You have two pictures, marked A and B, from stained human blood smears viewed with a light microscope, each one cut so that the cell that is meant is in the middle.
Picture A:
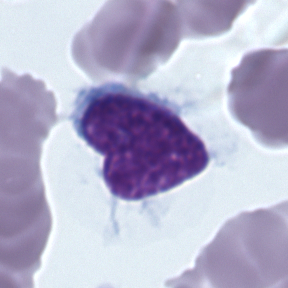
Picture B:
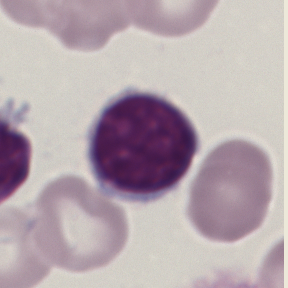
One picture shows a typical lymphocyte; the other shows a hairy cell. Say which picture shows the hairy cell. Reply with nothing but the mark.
A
